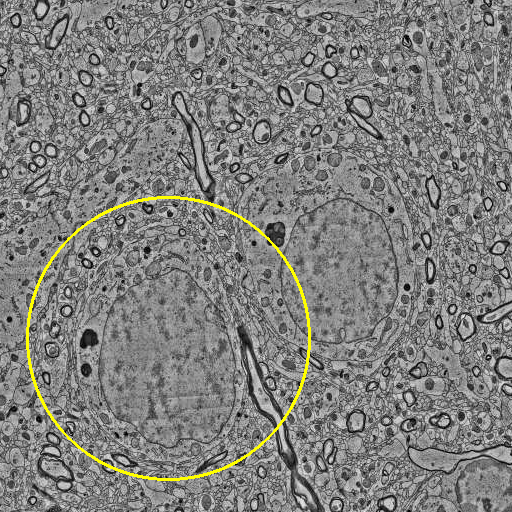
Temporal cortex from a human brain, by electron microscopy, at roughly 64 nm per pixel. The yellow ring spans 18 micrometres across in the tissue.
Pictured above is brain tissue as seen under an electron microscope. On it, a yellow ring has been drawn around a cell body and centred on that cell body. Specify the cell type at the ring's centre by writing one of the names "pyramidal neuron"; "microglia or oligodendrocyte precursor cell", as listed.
pyramidal neuron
